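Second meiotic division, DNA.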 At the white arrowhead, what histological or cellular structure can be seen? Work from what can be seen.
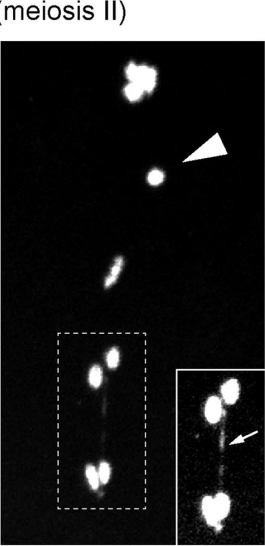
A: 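The arrowhead points to a small isolated round DNA mass. It lies apart from the larger chromatin groups along the line of division. So: lagging chromosome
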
